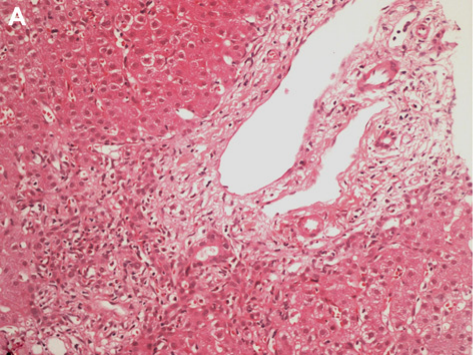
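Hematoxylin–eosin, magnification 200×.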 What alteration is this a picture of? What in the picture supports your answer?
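Fibrous portal expansion. A wide band of pale pink fibrous stroma surrounds a large empty vascular lumen. Plates of large polygonal pink cells lie on both sides of the stroma.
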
